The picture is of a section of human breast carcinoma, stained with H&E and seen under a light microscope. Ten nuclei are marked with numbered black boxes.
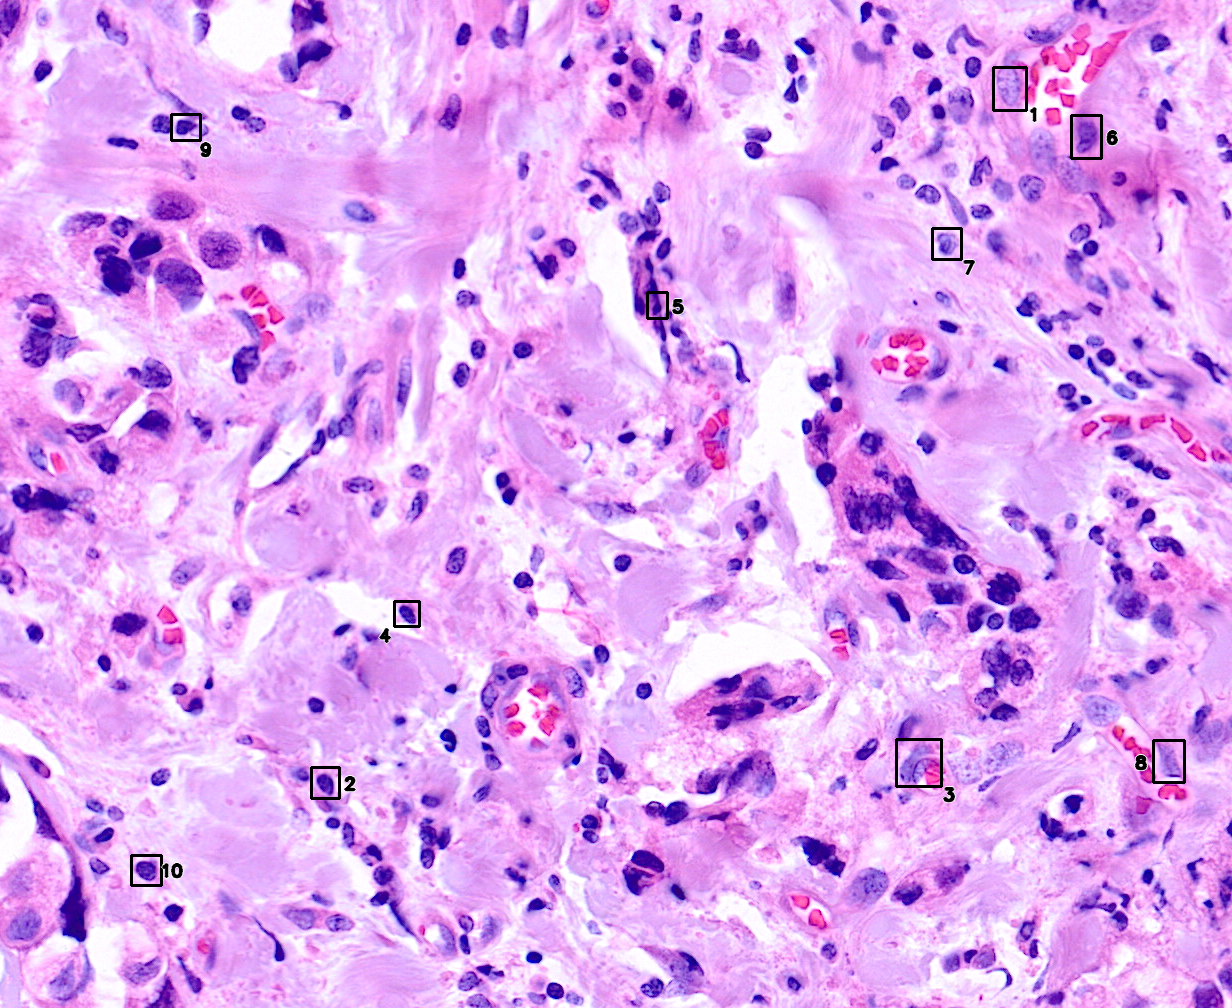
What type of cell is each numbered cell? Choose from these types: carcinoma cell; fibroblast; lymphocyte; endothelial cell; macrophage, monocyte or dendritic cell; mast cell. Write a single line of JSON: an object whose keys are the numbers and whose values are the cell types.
{"1": "endothelial cell", "2": "lymphocyte", "3": "endothelial cell", "4": "lymphocyte", "5": "lymphocyte", "6": "endothelial cell", "7": "lymphocyte", "8": "endothelial cell", "9": "lymphocyte", "10": "lymphocyte"}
